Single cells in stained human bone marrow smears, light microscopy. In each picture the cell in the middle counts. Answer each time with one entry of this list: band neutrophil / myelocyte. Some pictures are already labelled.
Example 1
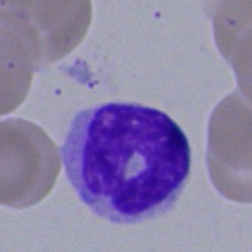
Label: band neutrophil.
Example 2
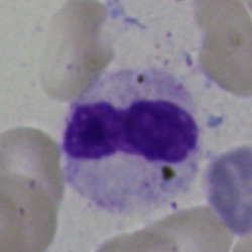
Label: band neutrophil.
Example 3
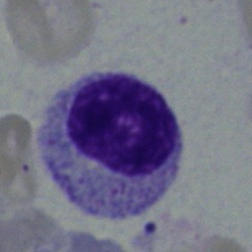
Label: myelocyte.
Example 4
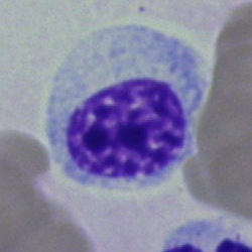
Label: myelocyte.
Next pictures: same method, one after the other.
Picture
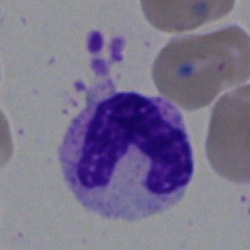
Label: band neutrophil.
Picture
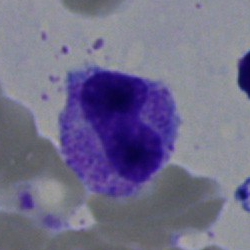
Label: band neutrophil.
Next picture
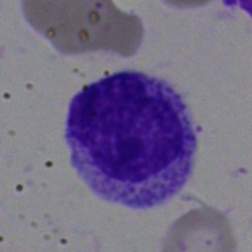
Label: myelocyte.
